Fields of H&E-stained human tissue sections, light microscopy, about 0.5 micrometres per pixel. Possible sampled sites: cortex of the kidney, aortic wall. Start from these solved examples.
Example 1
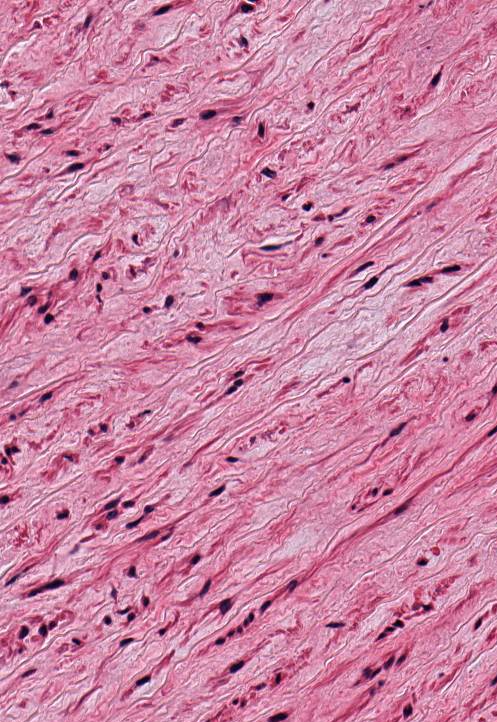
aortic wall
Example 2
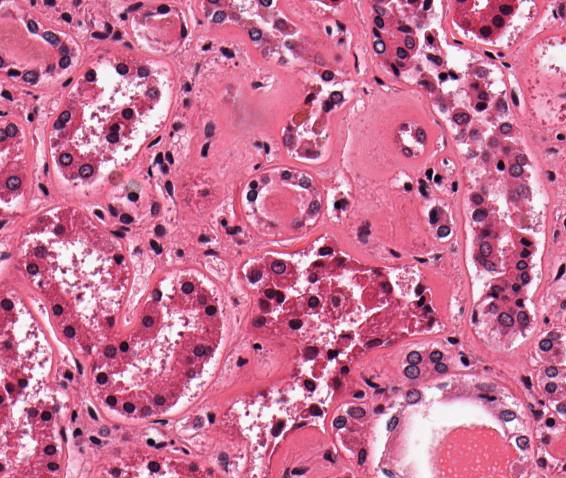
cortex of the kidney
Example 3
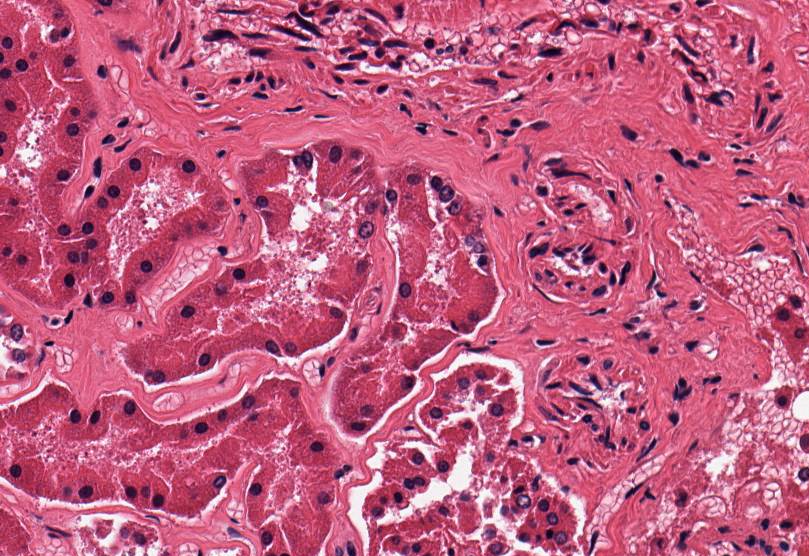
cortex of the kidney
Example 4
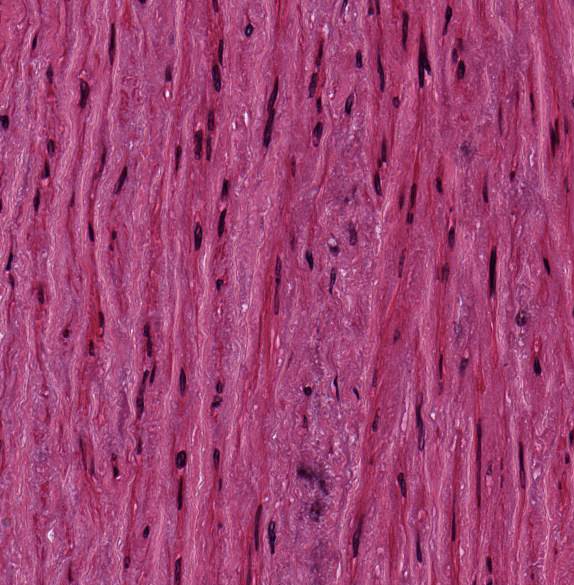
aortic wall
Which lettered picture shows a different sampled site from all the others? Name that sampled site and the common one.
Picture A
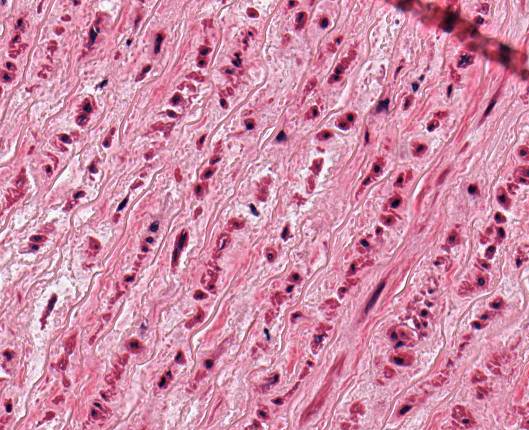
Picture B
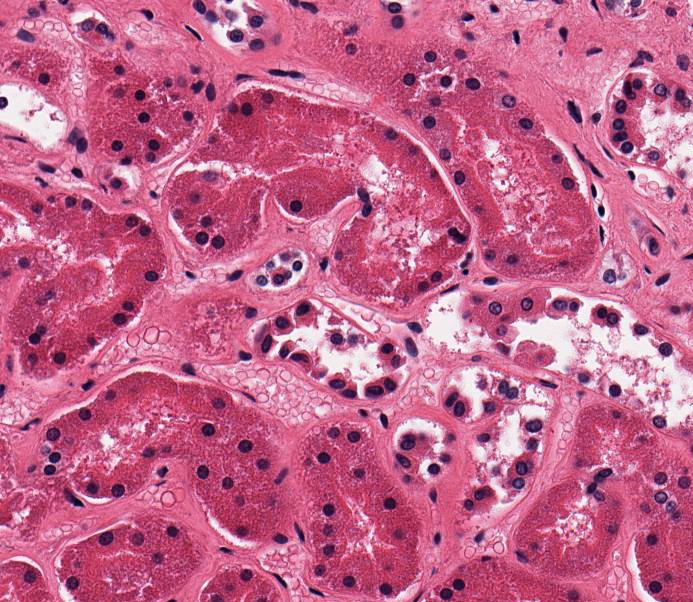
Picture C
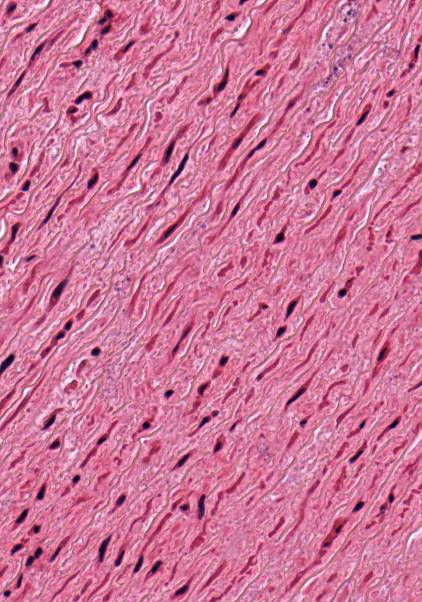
Picture B: cortex of the kidney. All others: aortic wall.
